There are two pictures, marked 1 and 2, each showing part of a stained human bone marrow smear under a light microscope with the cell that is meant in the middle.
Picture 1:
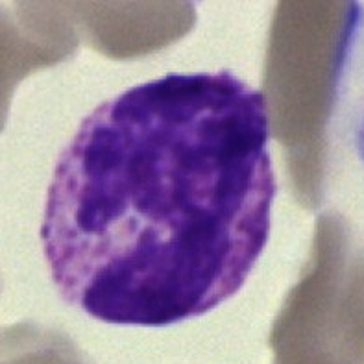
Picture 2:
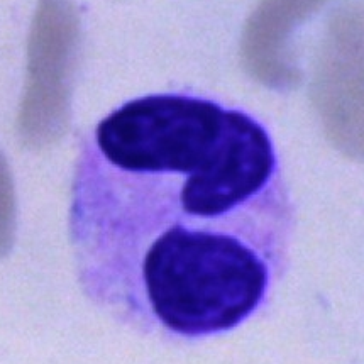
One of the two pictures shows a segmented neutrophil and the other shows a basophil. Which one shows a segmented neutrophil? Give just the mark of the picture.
2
